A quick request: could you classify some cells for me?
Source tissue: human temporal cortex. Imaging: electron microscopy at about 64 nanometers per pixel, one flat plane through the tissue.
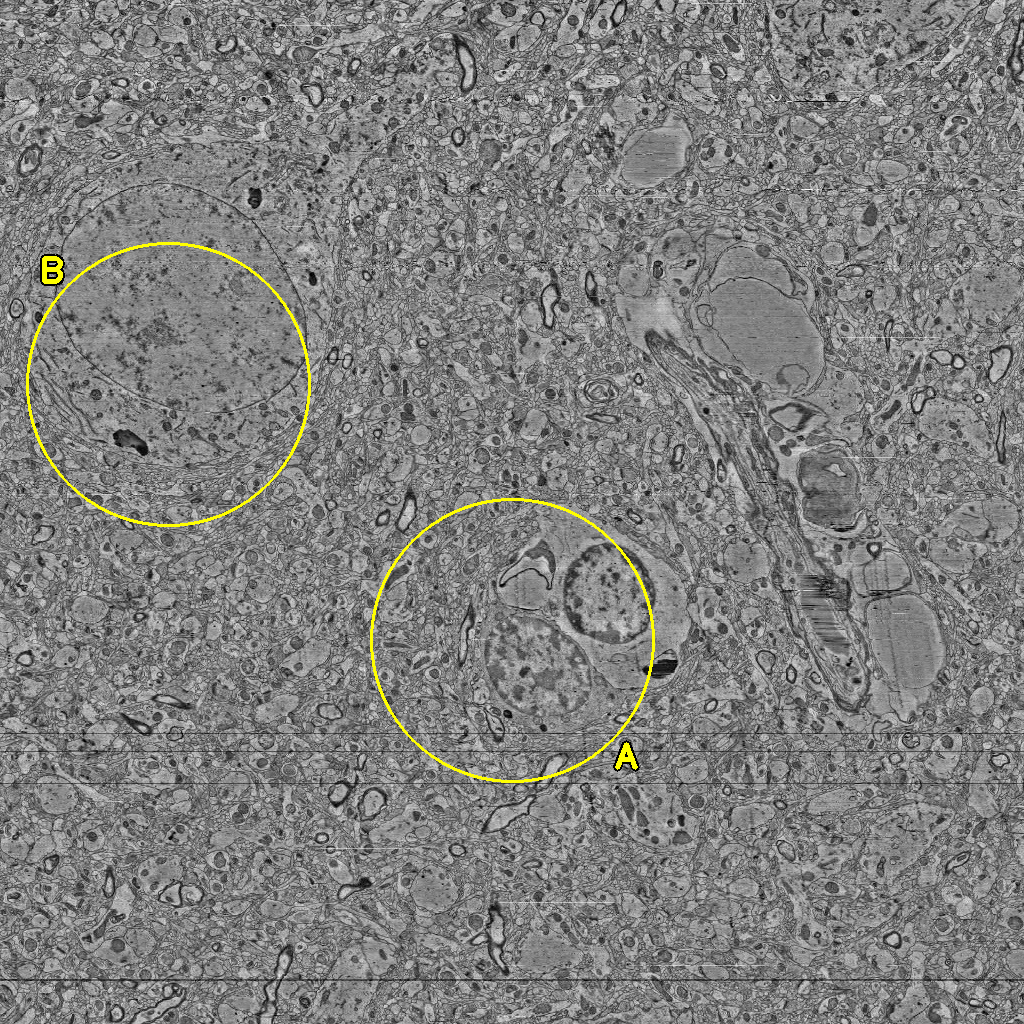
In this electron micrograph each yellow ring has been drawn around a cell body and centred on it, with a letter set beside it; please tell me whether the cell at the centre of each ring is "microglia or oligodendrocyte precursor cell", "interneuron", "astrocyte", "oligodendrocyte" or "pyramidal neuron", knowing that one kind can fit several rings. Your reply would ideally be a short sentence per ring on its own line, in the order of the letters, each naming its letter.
Ring A has an oligodendrocyte at its centre.
Ring B has a pyramidal neuron at its centre.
